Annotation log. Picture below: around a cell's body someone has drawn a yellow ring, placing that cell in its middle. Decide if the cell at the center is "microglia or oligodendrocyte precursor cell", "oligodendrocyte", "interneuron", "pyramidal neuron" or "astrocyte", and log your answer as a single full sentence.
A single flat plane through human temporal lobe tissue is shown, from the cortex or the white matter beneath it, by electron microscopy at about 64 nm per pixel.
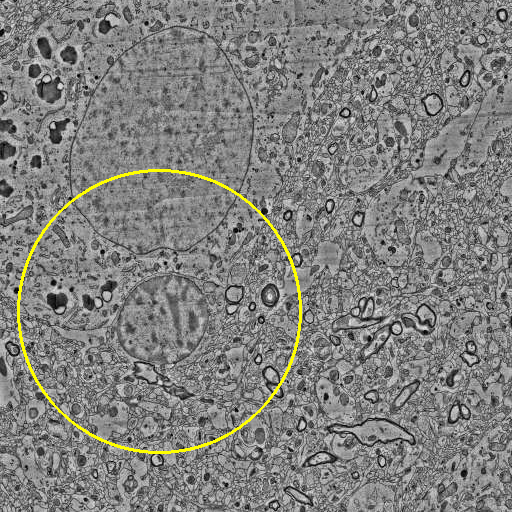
My entry records an oligodendrocyte as the cell sitting at the center of the yellow ring.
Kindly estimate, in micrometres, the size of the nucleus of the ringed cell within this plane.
The nucleus is about 6 micrometres across in this plane.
